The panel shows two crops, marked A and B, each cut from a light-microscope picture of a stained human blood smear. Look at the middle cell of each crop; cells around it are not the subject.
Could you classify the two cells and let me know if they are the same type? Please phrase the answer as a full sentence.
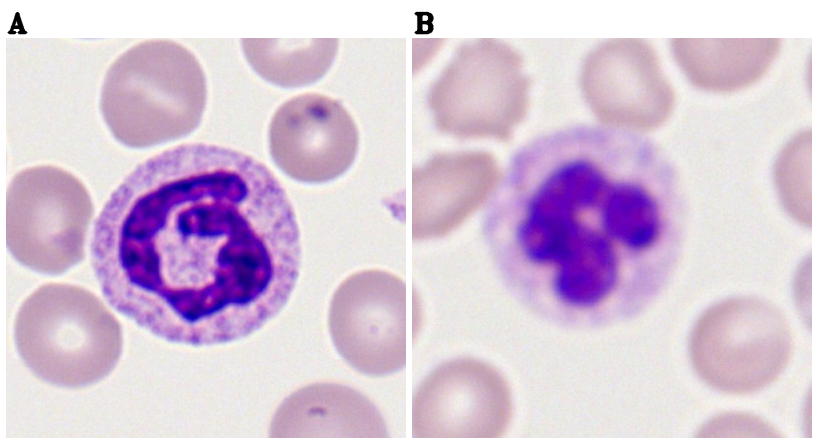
Yes, the two crops show segmented neutrophils, one cell each.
